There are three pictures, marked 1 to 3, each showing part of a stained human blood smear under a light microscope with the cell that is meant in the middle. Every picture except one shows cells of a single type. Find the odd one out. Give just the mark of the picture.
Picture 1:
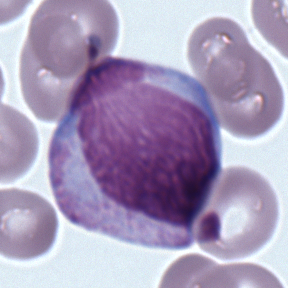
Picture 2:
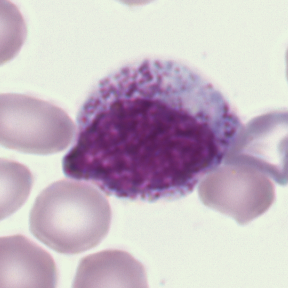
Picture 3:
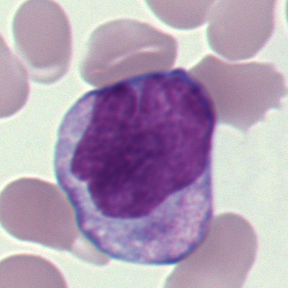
2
